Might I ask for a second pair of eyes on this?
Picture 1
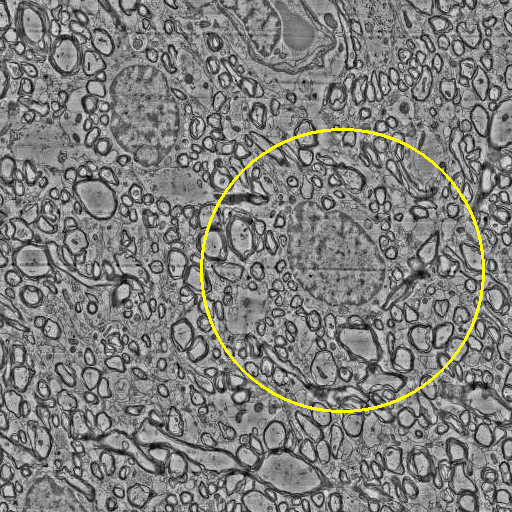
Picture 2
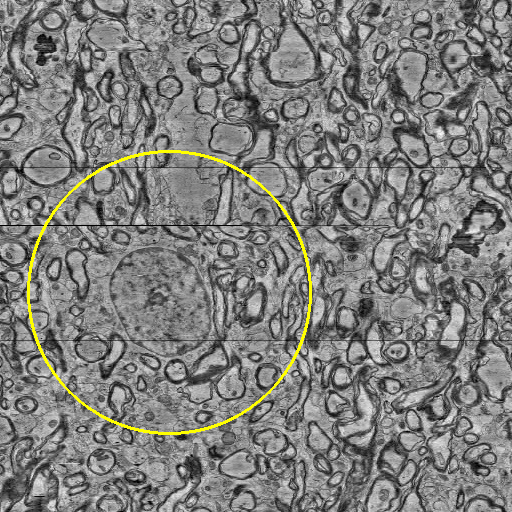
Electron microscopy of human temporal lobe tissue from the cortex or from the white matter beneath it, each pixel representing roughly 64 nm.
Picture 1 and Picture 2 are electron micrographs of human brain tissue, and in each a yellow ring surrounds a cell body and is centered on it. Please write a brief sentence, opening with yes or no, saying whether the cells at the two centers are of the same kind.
No, the cells are of two kinds.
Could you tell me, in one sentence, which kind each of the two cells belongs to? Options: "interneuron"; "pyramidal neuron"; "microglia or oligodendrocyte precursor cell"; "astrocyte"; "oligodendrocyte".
At the centre of the first ring sits an oligodendrocyte, and at the centre of the second sits a microglial cell or oligodendrocyte precursor cell.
